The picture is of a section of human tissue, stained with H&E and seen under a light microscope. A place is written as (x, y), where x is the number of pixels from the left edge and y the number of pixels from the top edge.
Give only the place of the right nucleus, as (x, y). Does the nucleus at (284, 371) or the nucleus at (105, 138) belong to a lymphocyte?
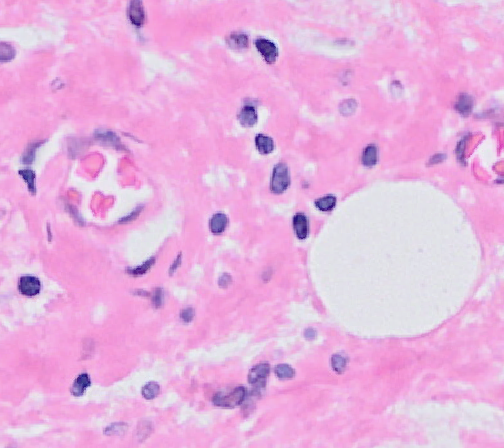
(284, 371)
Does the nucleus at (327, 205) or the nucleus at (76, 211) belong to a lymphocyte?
(327, 205)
